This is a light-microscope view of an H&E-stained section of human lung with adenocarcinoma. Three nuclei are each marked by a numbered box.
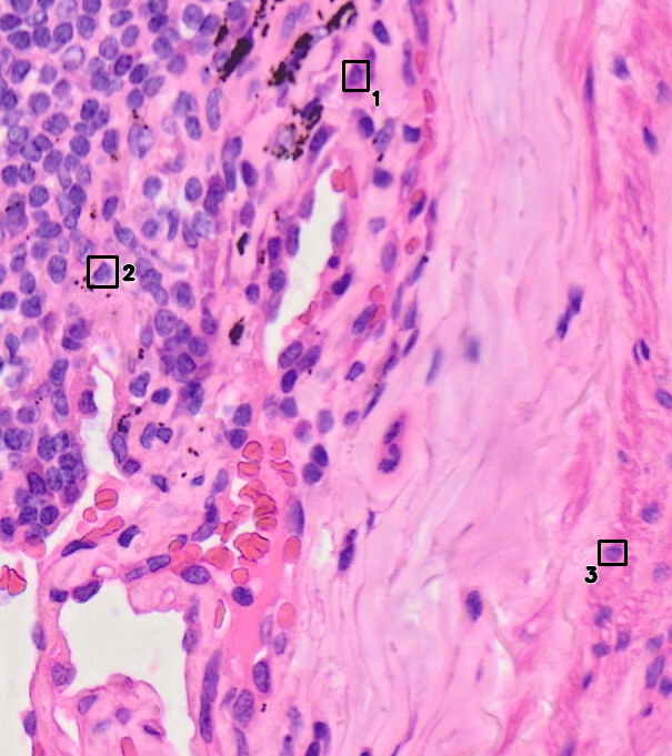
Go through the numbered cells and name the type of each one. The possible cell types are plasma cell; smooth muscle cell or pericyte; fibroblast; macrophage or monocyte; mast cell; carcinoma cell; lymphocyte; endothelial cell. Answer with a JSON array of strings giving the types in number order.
["plasma cell", "lymphocyte", "smooth muscle cell or pericyte"]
